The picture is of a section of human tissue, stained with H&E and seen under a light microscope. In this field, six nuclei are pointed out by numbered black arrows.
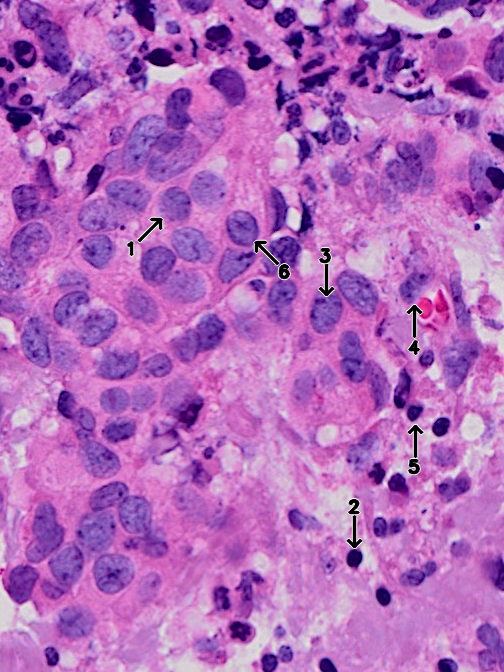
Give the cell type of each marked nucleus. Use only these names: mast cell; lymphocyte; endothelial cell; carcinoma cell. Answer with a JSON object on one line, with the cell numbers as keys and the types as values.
{"1": "carcinoma cell", "2": "lymphocyte", "3": "carcinoma cell", "4": "endothelial cell", "5": "lymphocyte", "6": "carcinoma cell"}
